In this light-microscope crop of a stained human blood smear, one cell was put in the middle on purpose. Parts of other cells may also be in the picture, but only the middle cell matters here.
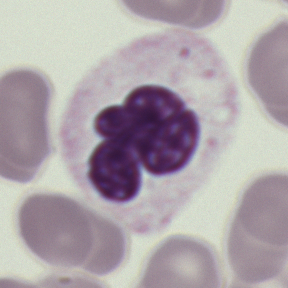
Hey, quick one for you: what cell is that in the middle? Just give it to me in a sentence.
This crop's central cell is a segmented neutrophil.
